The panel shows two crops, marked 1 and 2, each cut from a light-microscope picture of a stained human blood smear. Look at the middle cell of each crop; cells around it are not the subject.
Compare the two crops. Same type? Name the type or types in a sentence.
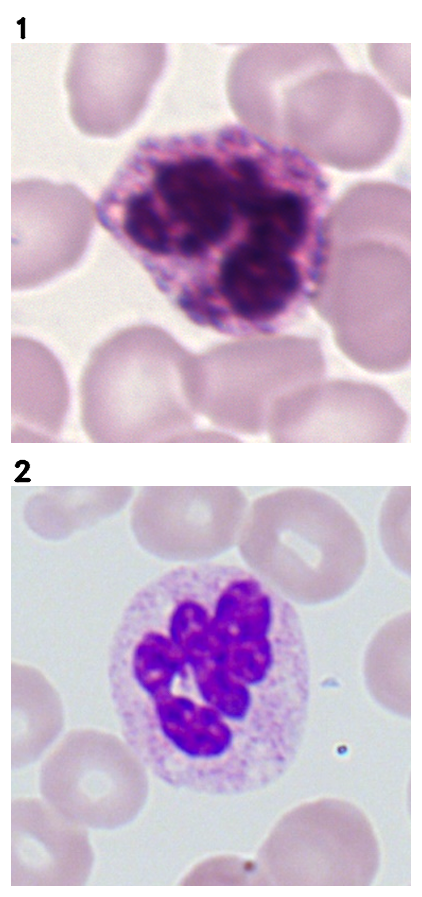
No, a basophil lies at the centre of crop 1, and a segmented neutrophil lies at the centre of crop 2.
